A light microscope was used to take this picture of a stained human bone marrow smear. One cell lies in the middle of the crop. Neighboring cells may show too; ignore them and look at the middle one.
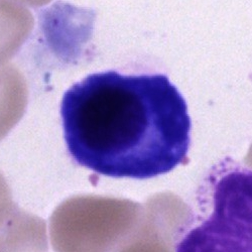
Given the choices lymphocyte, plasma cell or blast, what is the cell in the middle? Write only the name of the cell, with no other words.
plasma cell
